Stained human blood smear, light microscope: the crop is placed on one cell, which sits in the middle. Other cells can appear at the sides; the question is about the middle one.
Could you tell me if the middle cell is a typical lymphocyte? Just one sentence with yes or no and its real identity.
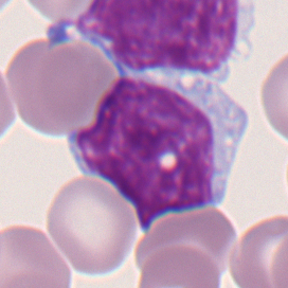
Yes, the middle cell of the field is a typical lymphocyte.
